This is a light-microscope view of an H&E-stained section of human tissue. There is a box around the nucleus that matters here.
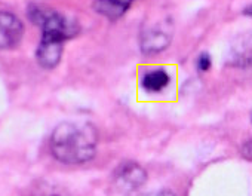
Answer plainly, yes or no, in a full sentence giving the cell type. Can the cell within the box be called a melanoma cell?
No, on this one the cell within the box is a lymphocyte, not a melanoma cell.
